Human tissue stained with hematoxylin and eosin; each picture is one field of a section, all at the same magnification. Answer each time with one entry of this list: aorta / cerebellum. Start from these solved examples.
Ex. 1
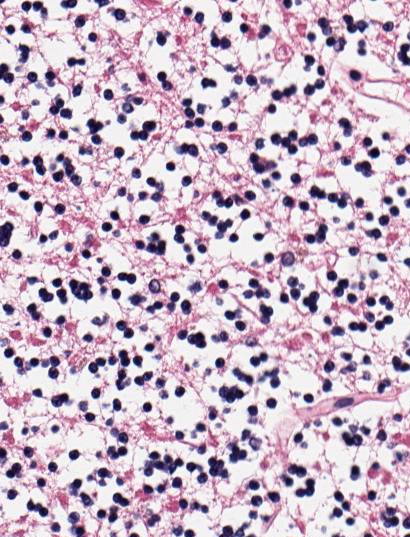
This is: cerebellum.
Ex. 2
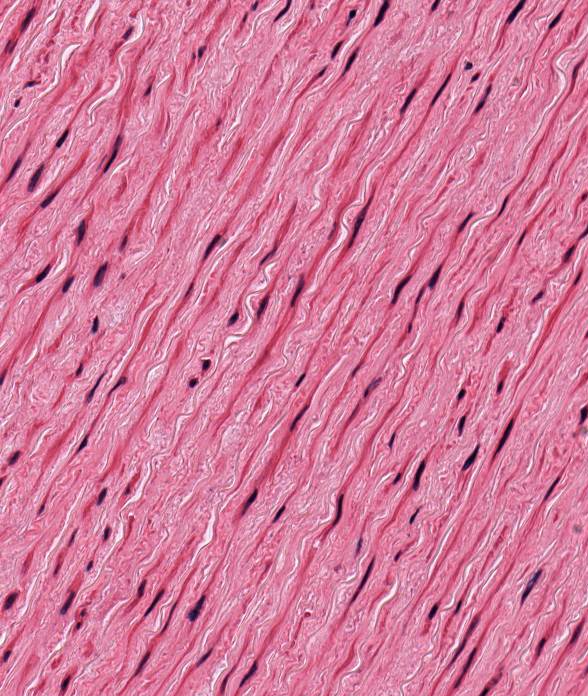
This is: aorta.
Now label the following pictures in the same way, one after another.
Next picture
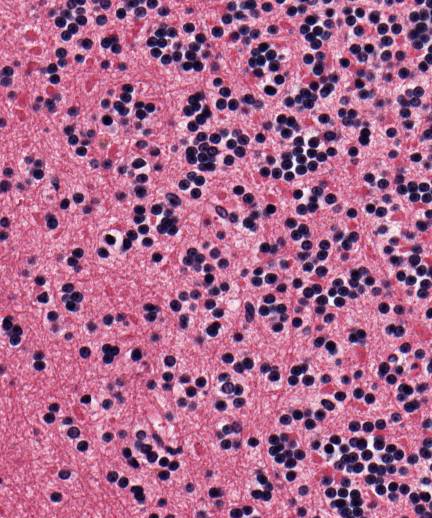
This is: cerebellum.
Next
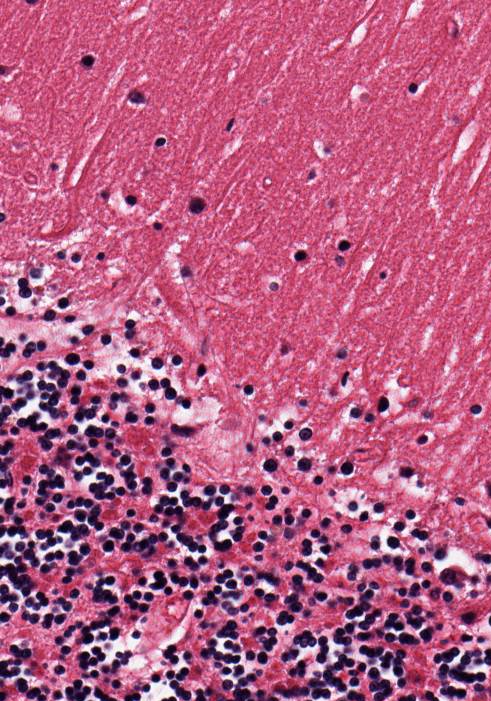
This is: cerebellum.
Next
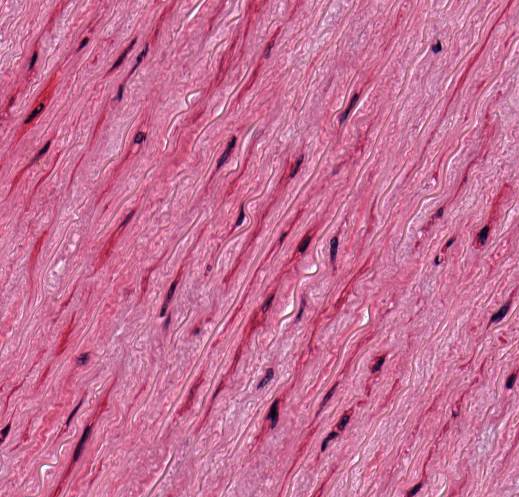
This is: aorta.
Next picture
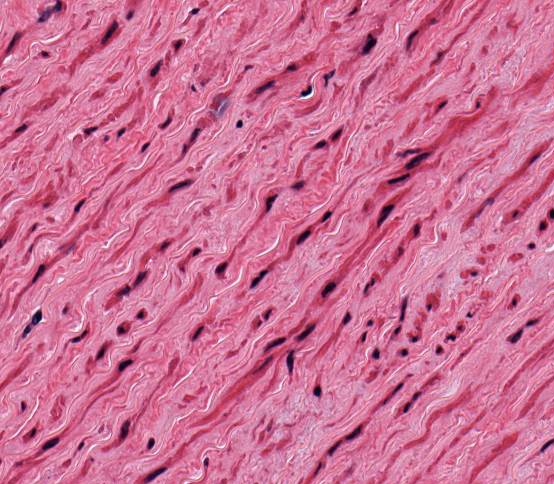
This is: aorta.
